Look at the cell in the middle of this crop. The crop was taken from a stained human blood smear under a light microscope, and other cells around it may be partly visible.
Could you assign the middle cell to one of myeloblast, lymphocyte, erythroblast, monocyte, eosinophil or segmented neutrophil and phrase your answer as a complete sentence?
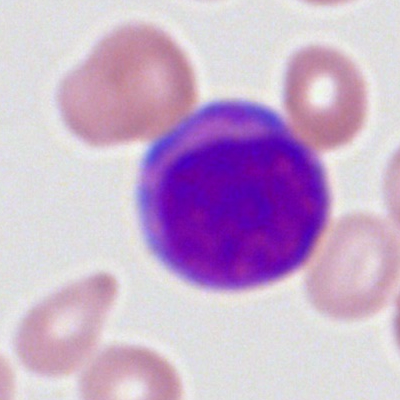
The cell positioned in the middle of the field is a myeloblast.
